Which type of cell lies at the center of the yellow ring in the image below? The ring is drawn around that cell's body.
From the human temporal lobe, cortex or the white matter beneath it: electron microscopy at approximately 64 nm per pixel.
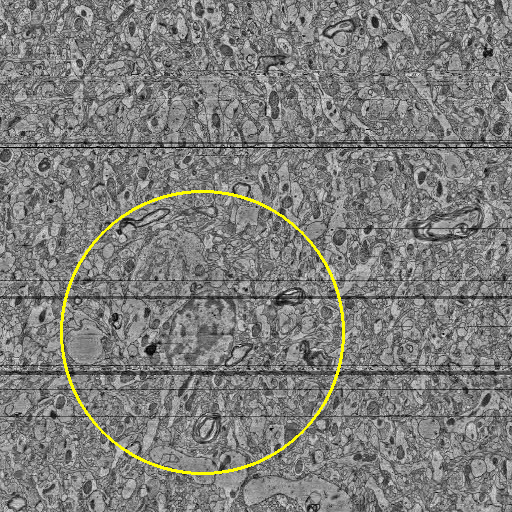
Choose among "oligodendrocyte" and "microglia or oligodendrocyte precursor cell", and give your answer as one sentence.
The cell body at the center belongs to an oligodendrocyte.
